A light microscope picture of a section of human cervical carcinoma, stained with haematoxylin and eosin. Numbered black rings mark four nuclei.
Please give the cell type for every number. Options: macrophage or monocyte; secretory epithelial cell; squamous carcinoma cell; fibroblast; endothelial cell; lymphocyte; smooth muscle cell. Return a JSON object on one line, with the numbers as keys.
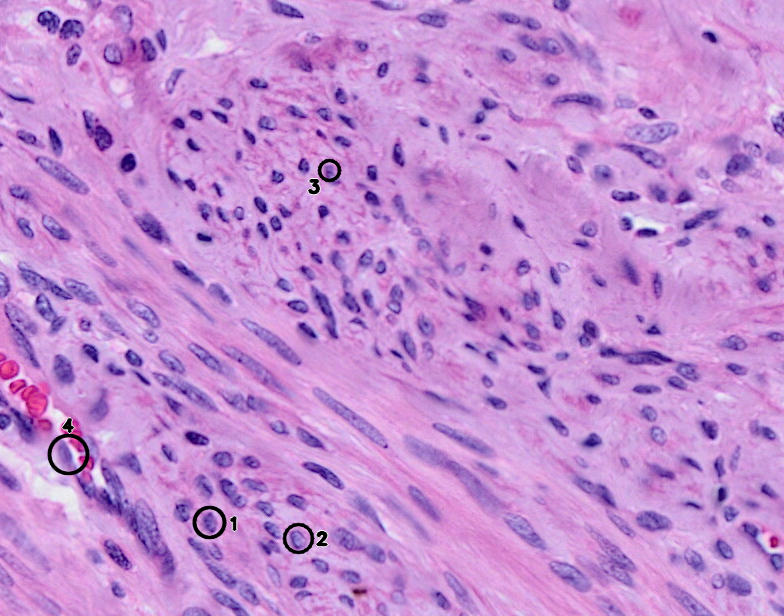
{"1": "smooth muscle cell", "2": "smooth muscle cell", "3": "smooth muscle cell", "4": "endothelial cell"}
